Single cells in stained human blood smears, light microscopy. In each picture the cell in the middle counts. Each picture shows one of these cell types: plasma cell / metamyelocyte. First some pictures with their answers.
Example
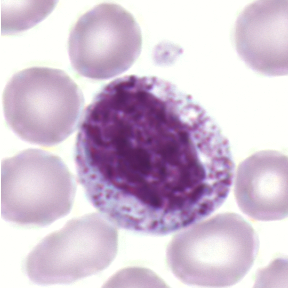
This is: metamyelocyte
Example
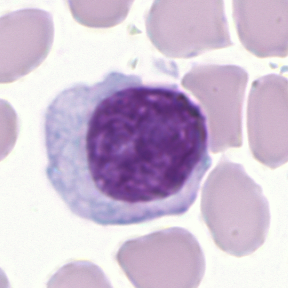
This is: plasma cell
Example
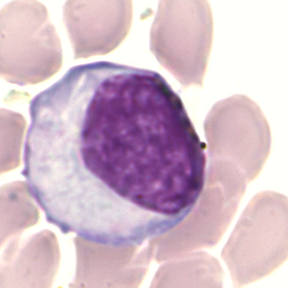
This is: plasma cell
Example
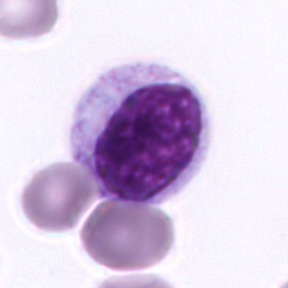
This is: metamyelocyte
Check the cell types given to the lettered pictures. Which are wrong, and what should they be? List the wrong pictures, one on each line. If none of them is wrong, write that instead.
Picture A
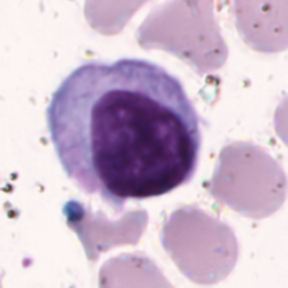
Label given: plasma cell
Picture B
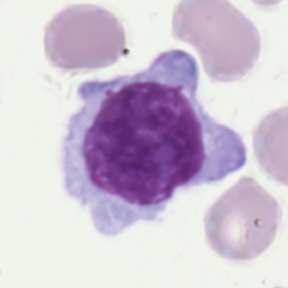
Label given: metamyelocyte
B is labelled metamyelocyte; correct label: plasma cell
